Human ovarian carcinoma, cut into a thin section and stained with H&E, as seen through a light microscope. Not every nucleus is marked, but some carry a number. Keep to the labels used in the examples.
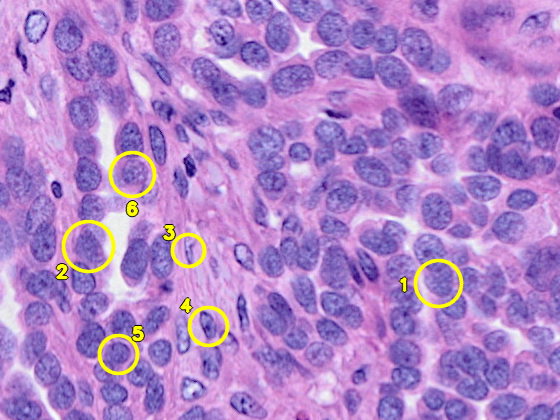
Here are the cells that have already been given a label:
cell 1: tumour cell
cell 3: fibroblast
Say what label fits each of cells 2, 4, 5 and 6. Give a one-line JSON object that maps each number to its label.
{"2": "tumour cell", "4": "fibroblast", "5": "tumour cell", "6": "tumour cell"}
